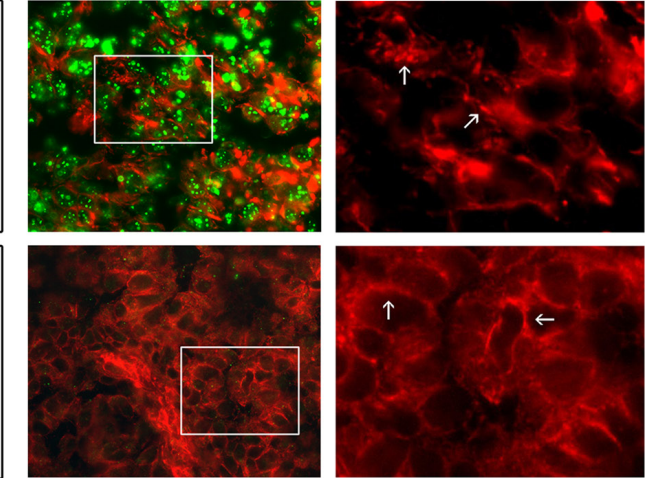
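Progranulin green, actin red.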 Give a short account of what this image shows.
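In the upper pictures many bright green round granules are scattered among the cells, and the red is patchy and irregular, forming uneven streaks and clumps rather than clean borders around each cell. In the lower pictures there is hardly any green, and the red forms fine continuous rims that outline closely packed polygonal cells, giving a tidy cobblestone-like pattern with darker cell interiors.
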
